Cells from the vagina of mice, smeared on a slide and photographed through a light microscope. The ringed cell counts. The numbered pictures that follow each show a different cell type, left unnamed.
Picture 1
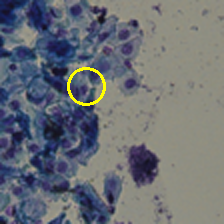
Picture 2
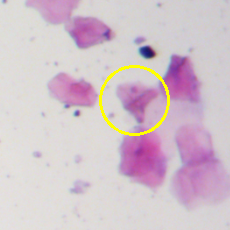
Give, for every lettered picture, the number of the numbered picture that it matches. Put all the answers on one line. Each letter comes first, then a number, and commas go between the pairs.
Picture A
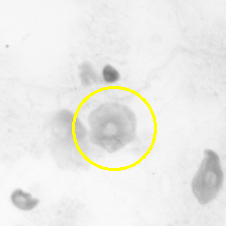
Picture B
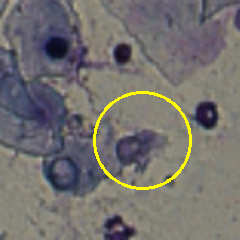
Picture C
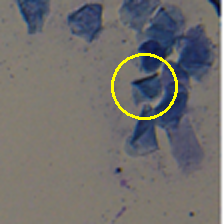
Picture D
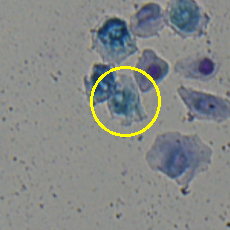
A 1, B 1, C 2, D 1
